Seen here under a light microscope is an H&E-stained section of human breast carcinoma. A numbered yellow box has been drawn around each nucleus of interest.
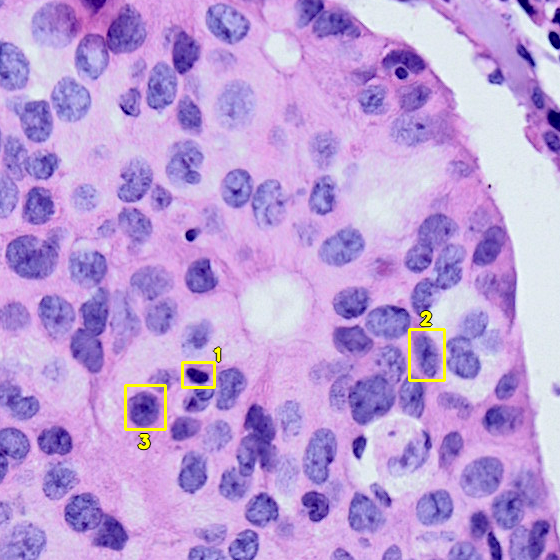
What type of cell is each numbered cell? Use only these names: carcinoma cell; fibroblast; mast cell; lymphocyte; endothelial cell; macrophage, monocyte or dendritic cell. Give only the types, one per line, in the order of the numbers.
lymphocyte
carcinoma cell
carcinoma cell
